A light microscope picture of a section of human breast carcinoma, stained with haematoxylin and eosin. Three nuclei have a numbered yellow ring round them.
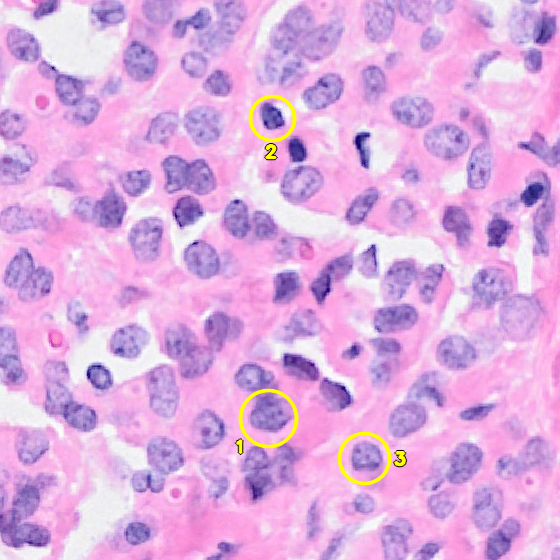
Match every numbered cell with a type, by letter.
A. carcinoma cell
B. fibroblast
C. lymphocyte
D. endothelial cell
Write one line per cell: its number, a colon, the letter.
1: A
2: C
3: A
